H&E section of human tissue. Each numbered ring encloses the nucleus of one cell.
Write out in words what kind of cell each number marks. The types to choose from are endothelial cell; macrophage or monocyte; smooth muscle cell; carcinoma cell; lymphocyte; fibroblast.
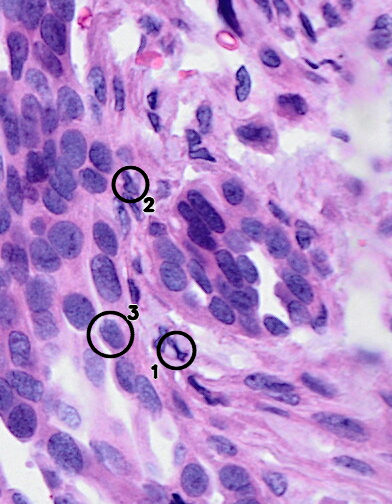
Cells 1 and 2 are fibroblasts. Cell 3 is a carcinoma cell.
